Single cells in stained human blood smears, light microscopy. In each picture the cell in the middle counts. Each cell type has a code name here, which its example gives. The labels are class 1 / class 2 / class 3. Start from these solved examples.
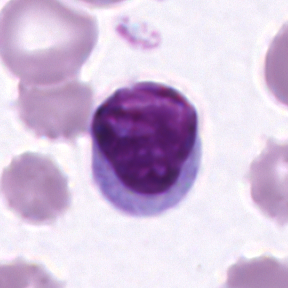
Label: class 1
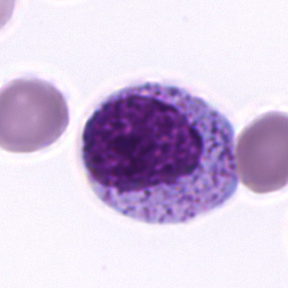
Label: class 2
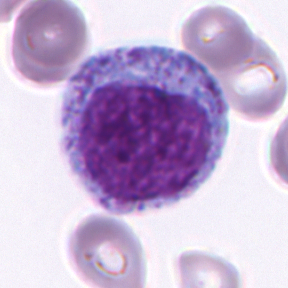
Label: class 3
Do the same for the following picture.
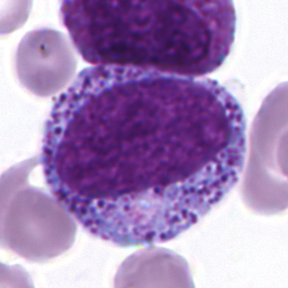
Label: class 3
